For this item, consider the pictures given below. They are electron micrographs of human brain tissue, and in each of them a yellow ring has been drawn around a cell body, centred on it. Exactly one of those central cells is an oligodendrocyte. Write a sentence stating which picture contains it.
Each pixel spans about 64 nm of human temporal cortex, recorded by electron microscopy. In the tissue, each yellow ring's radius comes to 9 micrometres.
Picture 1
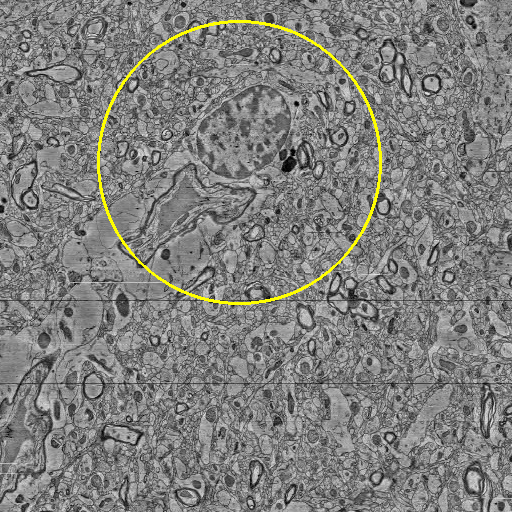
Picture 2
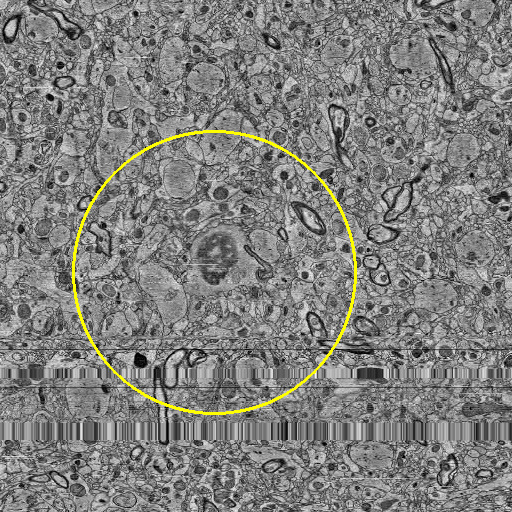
It is in Picture 2.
